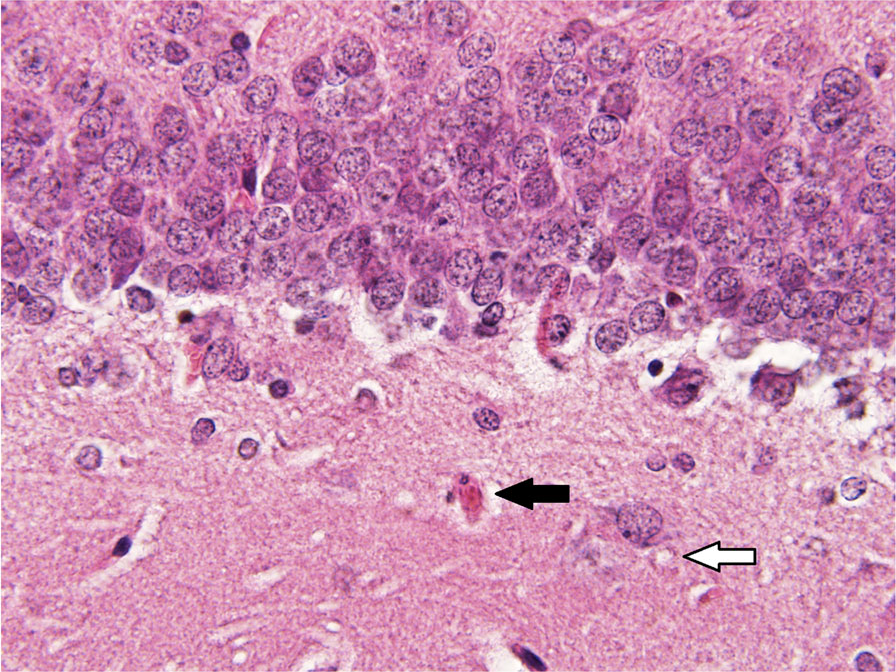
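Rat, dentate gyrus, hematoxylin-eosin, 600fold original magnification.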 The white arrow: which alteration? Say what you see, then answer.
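Small round clear empty spaces lie in the pink neuropil at the arrow tip. The clear spaces lie next to a cell with a round nucleus. The answer: neuronal vacuoles.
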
